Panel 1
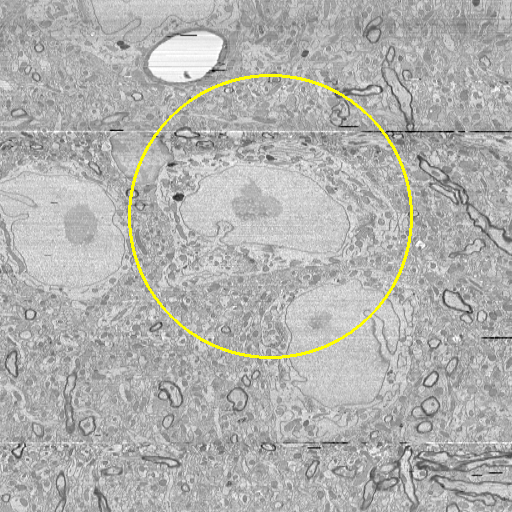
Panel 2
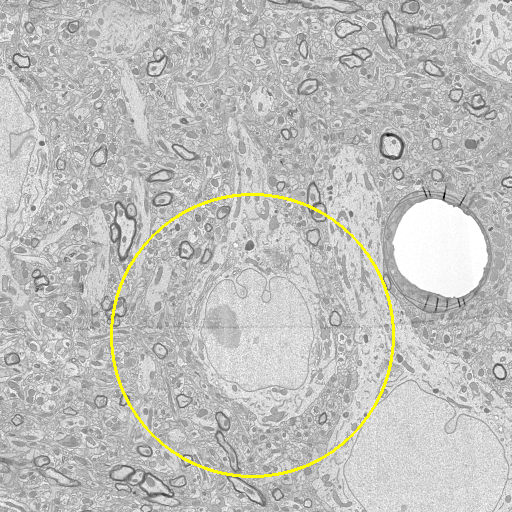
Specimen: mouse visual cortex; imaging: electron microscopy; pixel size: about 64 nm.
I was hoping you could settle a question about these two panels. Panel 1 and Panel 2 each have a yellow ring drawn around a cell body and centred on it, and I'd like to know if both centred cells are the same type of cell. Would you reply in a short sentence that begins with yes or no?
No, they are two types of cell.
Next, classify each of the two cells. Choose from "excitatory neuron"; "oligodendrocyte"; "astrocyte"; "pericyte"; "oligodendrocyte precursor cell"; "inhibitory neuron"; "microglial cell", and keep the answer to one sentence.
In the first picture it is an inhibitory neuron; in the second it is an excitatory neuron.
